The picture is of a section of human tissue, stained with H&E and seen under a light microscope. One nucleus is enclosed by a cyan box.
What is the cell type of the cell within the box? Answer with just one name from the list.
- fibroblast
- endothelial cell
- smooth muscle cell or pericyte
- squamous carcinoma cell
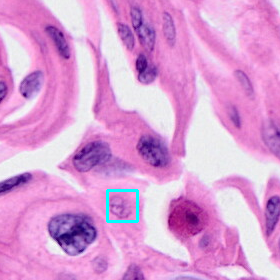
squamous carcinoma cell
